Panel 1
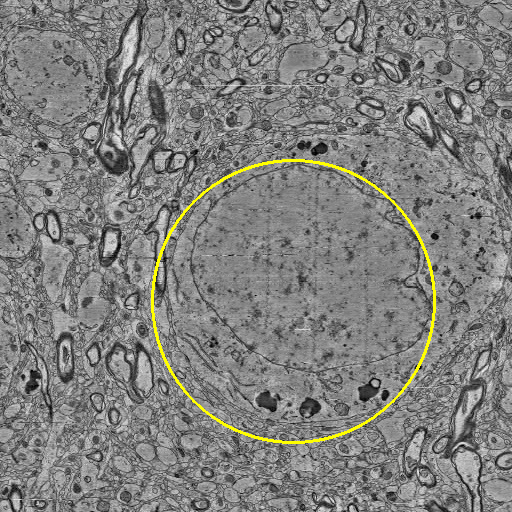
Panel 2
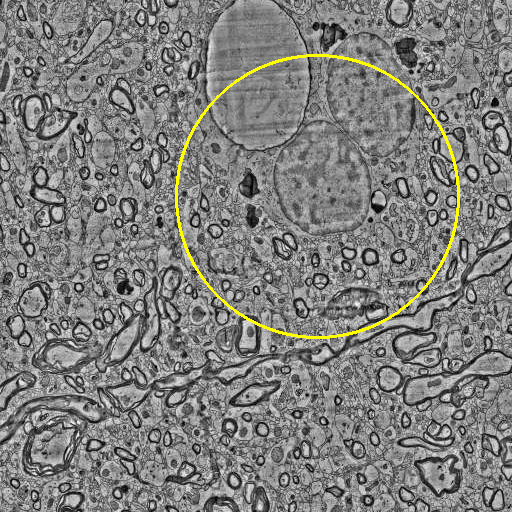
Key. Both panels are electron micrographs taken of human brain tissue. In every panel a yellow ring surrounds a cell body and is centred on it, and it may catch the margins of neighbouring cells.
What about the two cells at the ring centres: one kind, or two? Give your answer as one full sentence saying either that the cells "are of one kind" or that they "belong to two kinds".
Across Panels 1 and 2, the two cells at the ring centres belong to two kinds.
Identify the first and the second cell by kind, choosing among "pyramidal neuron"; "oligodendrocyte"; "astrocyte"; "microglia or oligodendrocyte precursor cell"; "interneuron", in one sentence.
The one in the first picture is a pyramidal neuron, while the one in the second is an oligodendrocyte.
